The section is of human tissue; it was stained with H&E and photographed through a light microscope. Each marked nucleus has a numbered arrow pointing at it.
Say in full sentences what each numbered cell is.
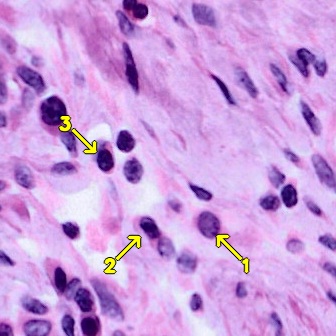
Cell 1 is a macrophage or monocyte. Cells 2 and 3 are lymphocytes.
